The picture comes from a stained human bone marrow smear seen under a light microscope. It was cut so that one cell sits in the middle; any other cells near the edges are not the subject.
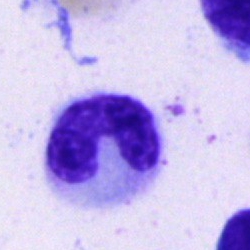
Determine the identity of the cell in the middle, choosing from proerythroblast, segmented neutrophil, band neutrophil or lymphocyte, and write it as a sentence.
The cell in the middle of this crop is a band neutrophil.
